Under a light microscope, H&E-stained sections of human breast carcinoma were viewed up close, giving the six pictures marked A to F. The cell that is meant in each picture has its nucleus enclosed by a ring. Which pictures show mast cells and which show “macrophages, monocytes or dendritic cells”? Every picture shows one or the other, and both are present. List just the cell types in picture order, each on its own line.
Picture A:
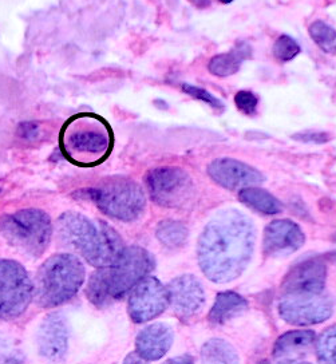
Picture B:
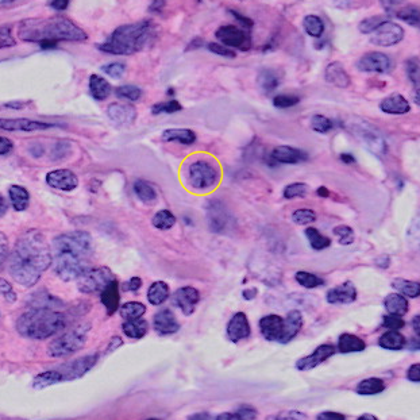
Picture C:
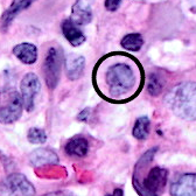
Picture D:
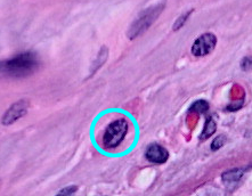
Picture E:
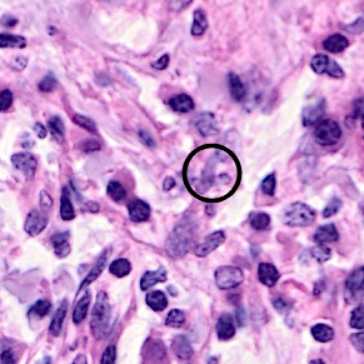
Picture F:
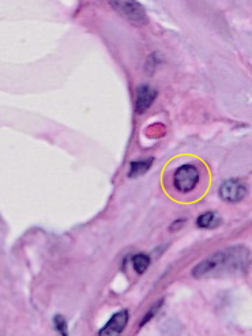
mast cell
mast cell
macrophage, monocyte or dendritic cell
mast cell
macrophage, monocyte or dendritic cell
mast cell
